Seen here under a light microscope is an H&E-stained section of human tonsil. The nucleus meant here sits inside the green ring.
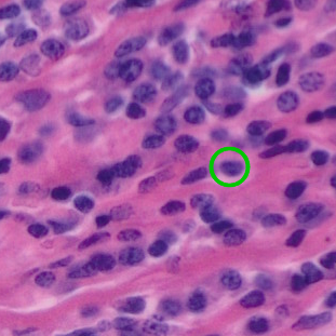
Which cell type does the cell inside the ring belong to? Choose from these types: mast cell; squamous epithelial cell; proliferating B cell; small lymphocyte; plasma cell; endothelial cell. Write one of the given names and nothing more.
mast cell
